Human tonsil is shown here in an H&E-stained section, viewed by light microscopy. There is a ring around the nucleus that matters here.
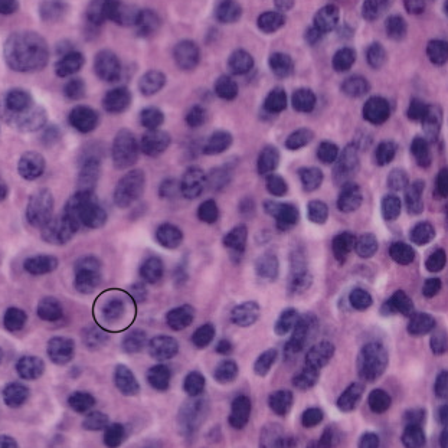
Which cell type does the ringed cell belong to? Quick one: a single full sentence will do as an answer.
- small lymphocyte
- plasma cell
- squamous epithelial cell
Speaking plainly, the ringed cell is nothing other than a plasma cell.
